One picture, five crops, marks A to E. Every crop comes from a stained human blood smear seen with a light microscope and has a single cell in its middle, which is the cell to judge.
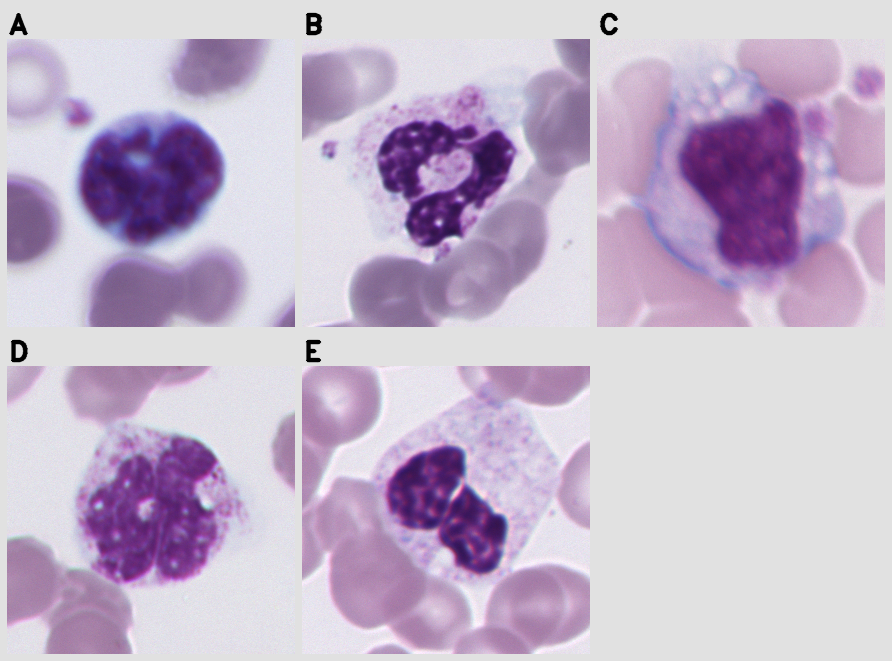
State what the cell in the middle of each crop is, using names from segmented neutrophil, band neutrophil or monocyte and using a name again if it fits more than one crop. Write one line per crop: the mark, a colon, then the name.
A: monocyte
B: segmented neutrophil
C: monocyte
D: segmented neutrophil
E: segmented neutrophil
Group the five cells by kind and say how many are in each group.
segmented neutrophil: 3
monocyte: 2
